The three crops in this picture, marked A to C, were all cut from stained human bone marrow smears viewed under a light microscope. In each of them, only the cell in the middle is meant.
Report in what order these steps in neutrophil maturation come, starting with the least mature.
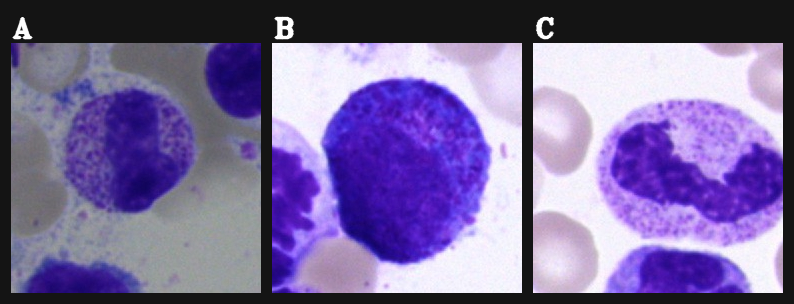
B, A, C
